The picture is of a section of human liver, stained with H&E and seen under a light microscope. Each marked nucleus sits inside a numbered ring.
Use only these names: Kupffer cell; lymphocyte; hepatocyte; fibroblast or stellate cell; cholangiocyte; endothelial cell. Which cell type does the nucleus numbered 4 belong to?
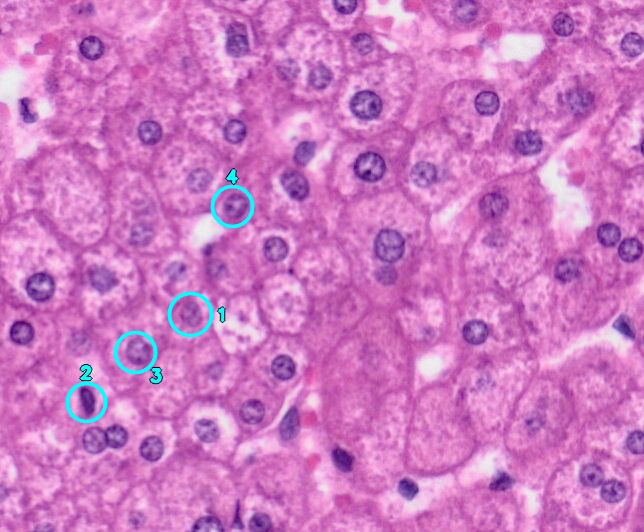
hepatocyte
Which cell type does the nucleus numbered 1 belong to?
hepatocyte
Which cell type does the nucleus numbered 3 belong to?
hepatocyte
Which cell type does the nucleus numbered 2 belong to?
Kupffer cell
